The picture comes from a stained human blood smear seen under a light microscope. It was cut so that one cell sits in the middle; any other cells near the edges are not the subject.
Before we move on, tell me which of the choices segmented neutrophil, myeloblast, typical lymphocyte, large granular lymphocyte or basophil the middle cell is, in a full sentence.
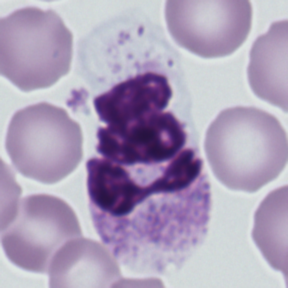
The central cell shown in this smear crop is a segmented neutrophil.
